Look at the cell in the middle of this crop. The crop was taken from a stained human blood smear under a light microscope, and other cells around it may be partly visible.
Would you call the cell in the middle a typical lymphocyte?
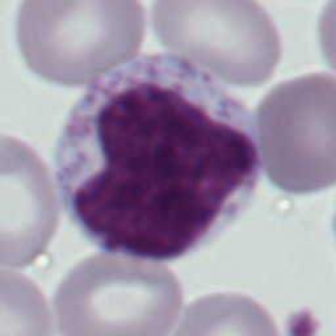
no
